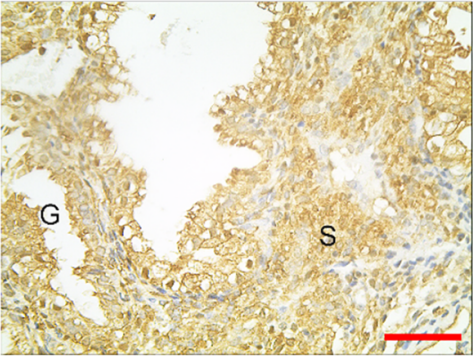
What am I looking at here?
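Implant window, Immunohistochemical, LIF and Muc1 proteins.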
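Endometrium with irregular glandular lumens surrounded by endometrial stroma. The lining epithelium and the stromal cells both carry a widespread brown stain in their cytoplasm and along cell borders, so much of the tissue appears golden brown. Many cells look rounded with clear, vacuolated cytoplasm outlined in brown. Blue nuclei are most visible in a few less stained strands of stroma between the lumens, where cells are smaller and more spindle-shaped. The lumens are wide and empty or hold sparse pale material.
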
